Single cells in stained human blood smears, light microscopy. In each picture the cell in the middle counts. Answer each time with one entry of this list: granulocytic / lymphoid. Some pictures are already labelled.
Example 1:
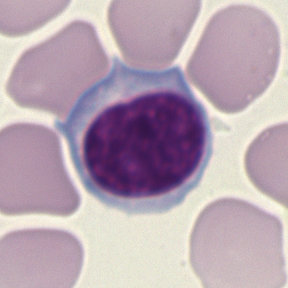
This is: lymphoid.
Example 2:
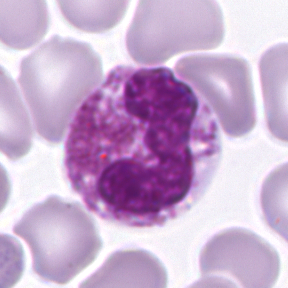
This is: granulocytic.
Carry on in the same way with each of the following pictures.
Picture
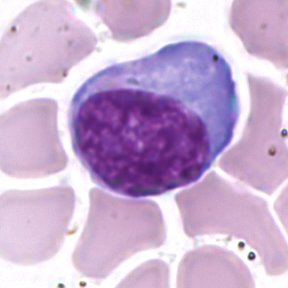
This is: lymphoid.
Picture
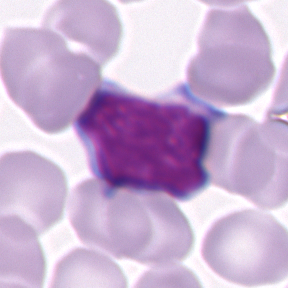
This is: lymphoid.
